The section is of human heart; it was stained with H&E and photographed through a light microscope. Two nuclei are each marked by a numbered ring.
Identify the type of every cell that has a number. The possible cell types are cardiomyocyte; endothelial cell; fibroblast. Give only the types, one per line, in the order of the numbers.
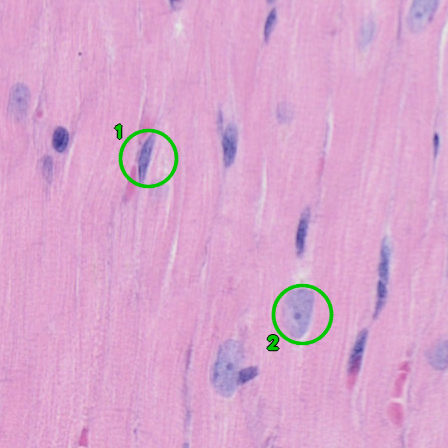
endothelial cell
cardiomyocyte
